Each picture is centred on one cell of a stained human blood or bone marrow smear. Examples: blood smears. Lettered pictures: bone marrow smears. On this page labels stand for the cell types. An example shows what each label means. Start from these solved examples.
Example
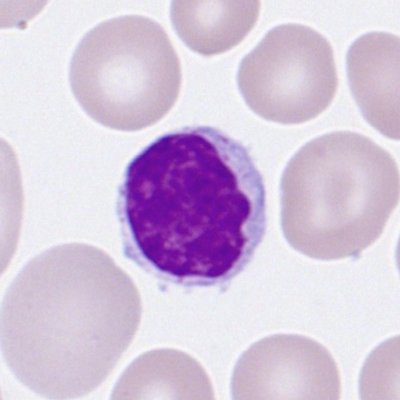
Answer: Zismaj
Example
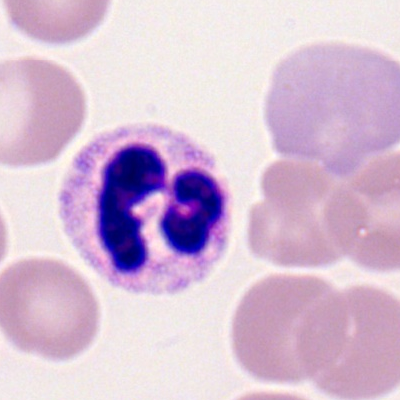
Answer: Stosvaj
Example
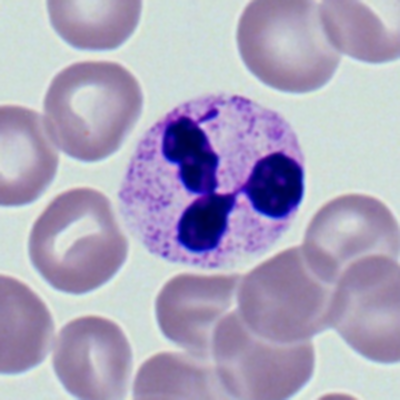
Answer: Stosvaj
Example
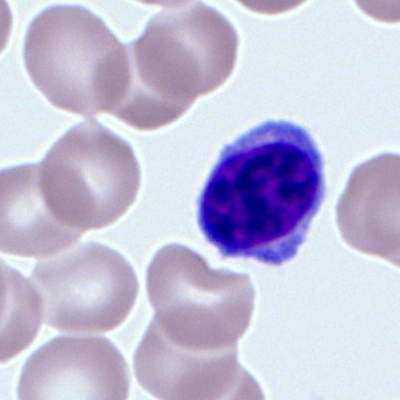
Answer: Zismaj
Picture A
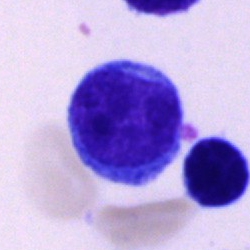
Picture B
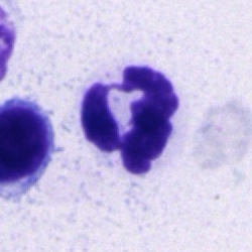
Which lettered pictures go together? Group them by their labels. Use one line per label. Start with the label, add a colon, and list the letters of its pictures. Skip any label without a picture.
Zismaj: A
Stosvaj: B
